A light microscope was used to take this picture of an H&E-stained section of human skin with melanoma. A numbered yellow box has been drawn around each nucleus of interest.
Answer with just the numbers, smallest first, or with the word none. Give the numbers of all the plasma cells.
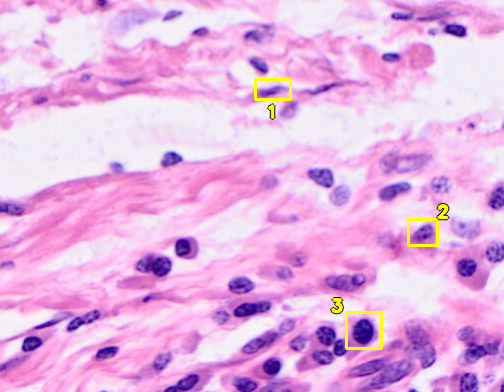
2, 3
